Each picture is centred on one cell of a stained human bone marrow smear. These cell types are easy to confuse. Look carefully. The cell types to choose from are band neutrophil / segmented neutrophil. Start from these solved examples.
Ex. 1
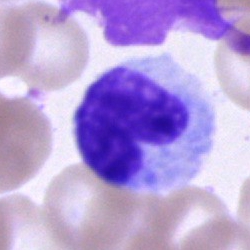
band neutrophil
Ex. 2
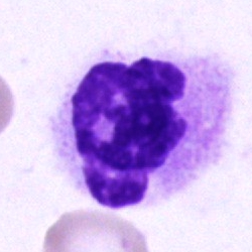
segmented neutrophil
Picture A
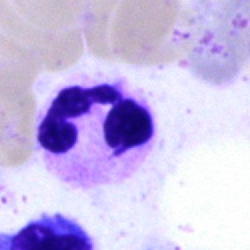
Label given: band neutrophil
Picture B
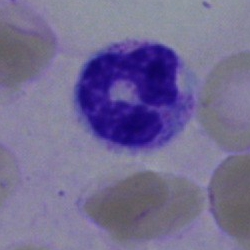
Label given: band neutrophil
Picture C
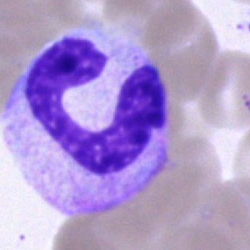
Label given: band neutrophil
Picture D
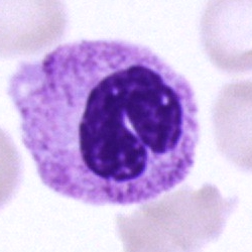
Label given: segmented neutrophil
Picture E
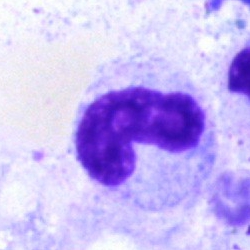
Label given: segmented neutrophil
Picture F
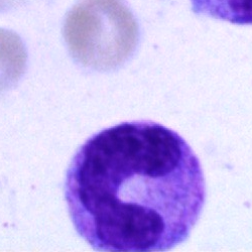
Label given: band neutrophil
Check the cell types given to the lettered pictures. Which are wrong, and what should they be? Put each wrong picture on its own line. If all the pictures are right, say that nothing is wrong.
A: segmented neutrophil, not band neutrophil
E: band neutrophil, not segmented neutrophil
